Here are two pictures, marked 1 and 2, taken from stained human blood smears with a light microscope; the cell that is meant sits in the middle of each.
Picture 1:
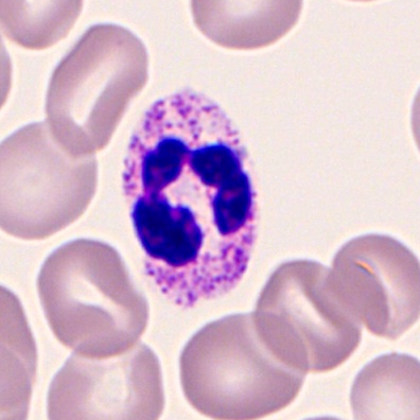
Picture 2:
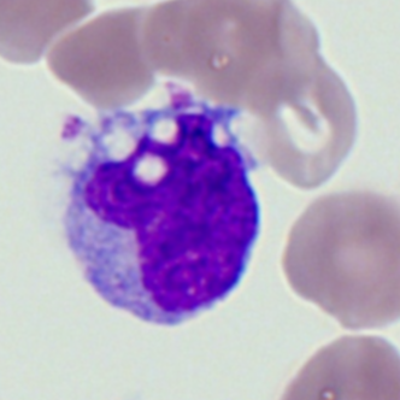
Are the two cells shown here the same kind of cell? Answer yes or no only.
no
